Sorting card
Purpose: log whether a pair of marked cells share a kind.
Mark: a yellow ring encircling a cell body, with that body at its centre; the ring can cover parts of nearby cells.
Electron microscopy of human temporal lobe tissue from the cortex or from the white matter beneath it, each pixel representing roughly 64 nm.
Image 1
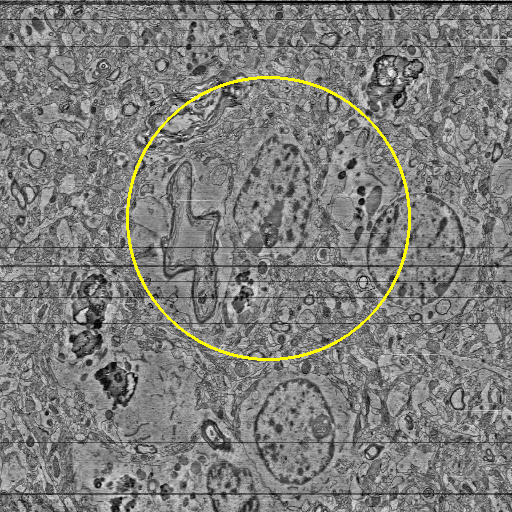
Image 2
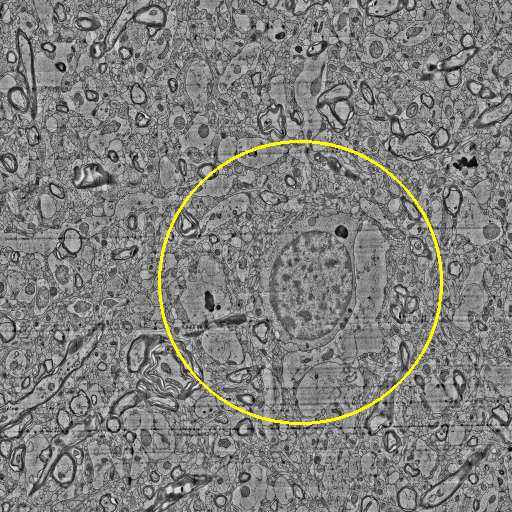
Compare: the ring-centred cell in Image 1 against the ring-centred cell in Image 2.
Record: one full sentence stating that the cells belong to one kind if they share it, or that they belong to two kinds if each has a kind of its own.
Across Images 1 and 2, the two ring-centred cells belong to two kinds.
